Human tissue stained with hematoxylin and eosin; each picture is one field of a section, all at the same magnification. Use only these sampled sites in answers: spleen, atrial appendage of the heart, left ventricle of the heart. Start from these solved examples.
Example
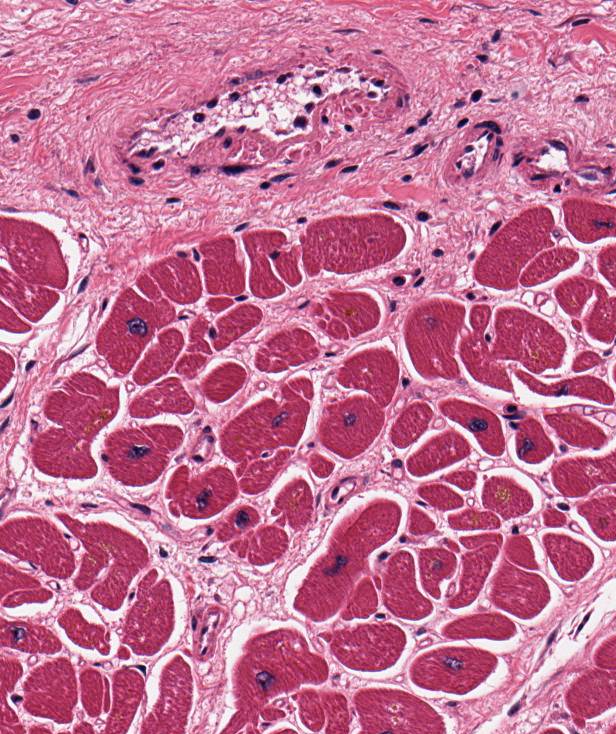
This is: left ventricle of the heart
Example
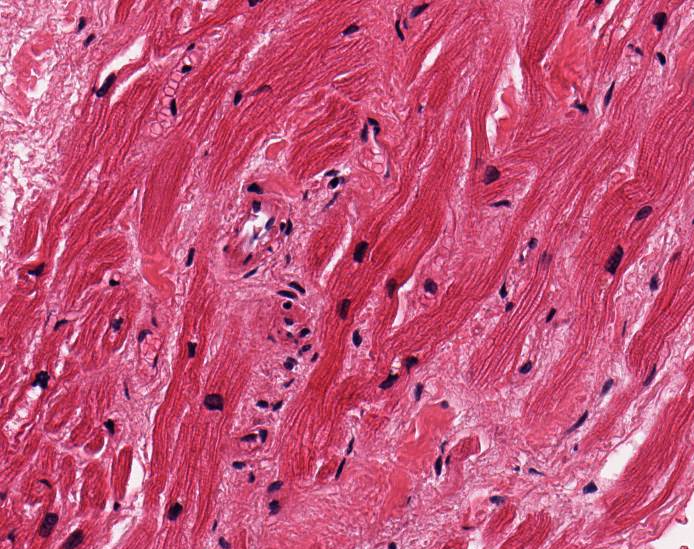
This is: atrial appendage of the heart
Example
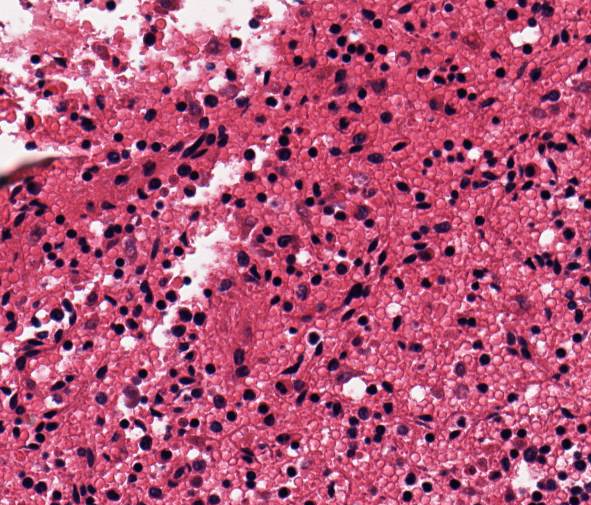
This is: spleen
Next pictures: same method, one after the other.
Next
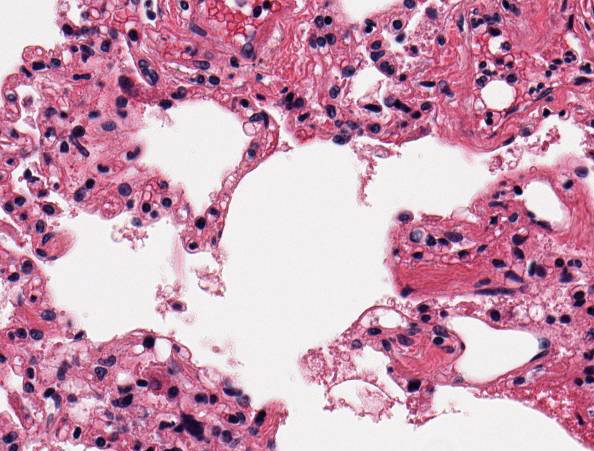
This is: atrial appendage of the heart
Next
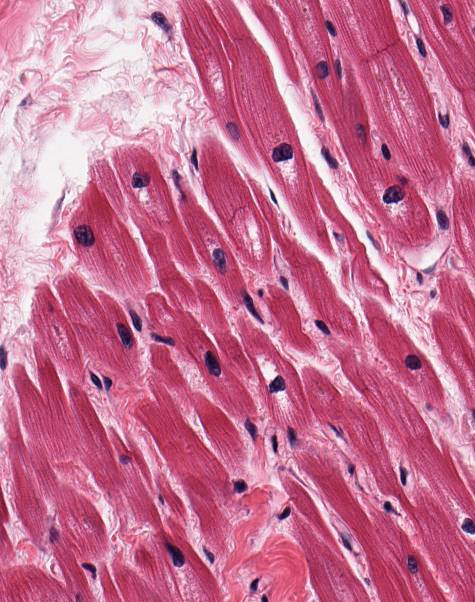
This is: atrial appendage of the heart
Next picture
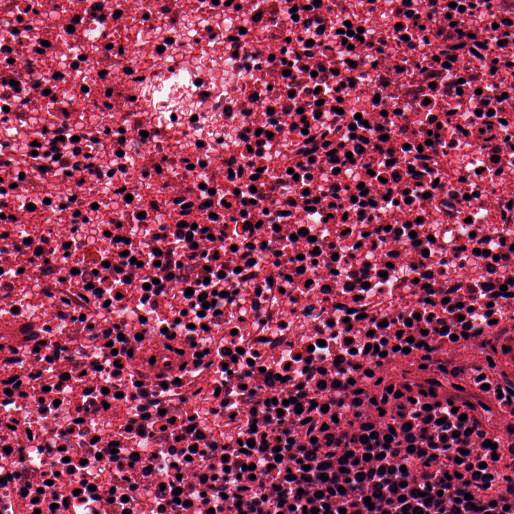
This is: spleen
